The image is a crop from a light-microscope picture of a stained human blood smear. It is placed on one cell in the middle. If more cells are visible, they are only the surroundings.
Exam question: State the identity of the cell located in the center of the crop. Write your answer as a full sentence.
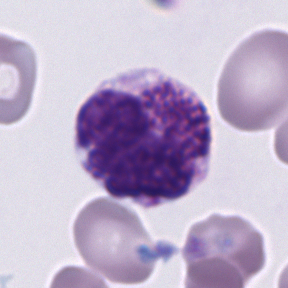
The cell at the middle of the frame should be recorded as a basophil.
